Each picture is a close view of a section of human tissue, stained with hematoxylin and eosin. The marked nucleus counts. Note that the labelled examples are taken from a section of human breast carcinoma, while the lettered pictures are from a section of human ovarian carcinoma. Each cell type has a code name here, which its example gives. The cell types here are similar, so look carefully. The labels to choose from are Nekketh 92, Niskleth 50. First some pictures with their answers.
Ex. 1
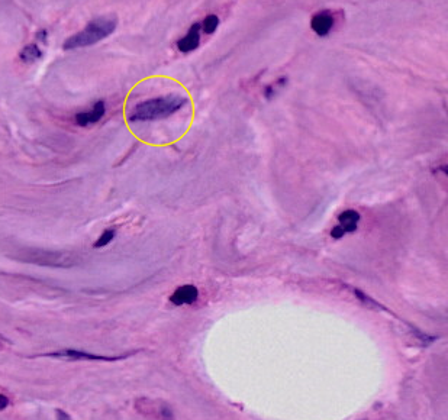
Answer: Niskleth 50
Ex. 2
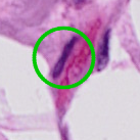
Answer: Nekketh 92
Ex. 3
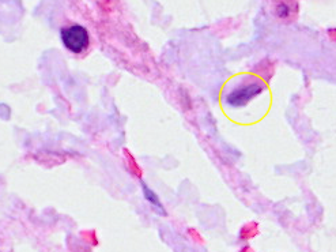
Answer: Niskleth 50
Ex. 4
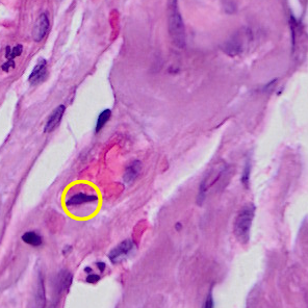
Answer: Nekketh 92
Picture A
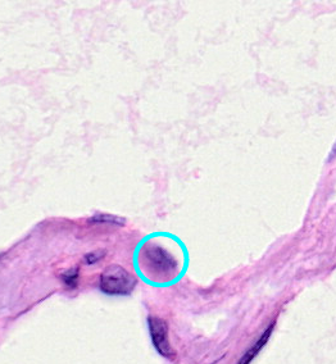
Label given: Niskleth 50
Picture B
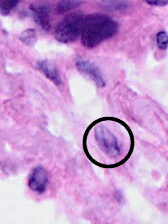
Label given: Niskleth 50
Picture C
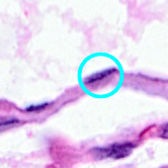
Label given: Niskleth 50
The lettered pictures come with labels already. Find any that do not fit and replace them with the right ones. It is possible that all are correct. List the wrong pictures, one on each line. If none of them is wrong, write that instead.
A should be Nekketh 92, not Niskleth 50
C should be Nekketh 92, not Niskleth 50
